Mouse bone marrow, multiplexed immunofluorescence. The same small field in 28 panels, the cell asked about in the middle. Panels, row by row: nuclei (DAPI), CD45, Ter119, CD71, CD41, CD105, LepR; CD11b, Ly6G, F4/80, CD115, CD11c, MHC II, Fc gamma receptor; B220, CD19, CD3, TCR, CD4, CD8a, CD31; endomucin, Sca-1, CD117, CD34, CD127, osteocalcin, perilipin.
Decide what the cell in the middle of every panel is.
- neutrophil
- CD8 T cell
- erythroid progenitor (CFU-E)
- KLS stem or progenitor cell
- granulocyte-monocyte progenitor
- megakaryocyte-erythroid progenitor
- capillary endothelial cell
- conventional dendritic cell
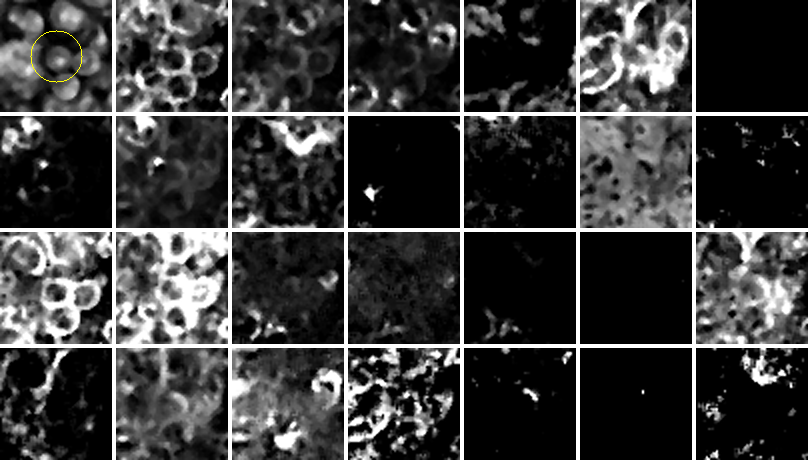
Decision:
erythroid progenitor (CFU-E)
